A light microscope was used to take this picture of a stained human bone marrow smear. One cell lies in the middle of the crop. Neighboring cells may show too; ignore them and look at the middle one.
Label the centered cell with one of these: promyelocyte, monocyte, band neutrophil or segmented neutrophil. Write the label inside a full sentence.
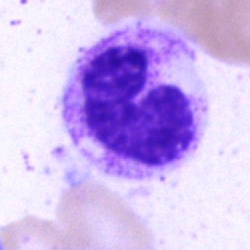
The cell of interest, located centrally, is a band neutrophil.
